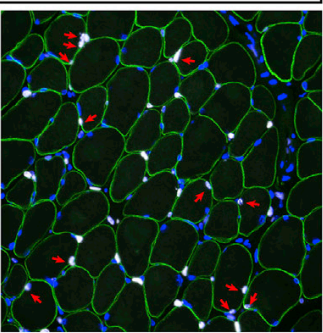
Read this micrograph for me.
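A cross-section of skeletal muscle shows closely packed myofibers cut transversely, each outlined by a thin green ring and dark inside, with rounded to polygonal profiles of varied size. Blue nuclei lie at the edges of the fibers and in the narrow spaces between them. Many nuclei are also white, scattered across the field.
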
